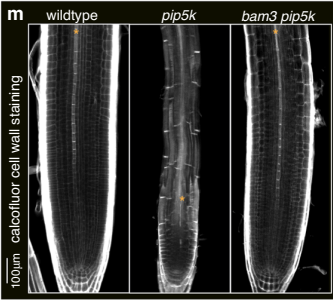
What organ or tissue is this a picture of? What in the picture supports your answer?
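Each image shows a tapering, rounded organ tip outlined by bright cell walls. Small cells are stacked in longitudinal files running toward the tip.
Answer: root meristems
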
